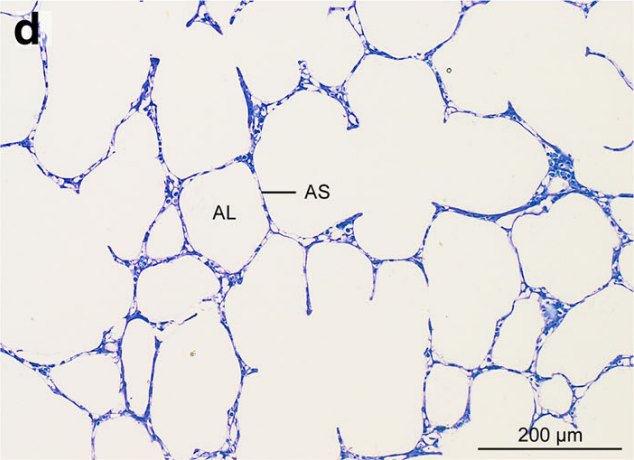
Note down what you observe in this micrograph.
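This is lung parenchyma: a meshwork of large, empty, rounded air spaces separated by thin walls stained blue. Each wall between neighbouring spaces is very thin, often hardly more than a line. Here and there the walls thicken, especially where several of them meet, and in these junctions small darker blue nuclei and cell bodies crowd together. Some walls end in free, knob-like tips that project into the spaces. The air spaces themselves are clear, with no cells or fluid lying in them, and they vary in size and outline, some round, others irregular where walls are cut obliquely.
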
